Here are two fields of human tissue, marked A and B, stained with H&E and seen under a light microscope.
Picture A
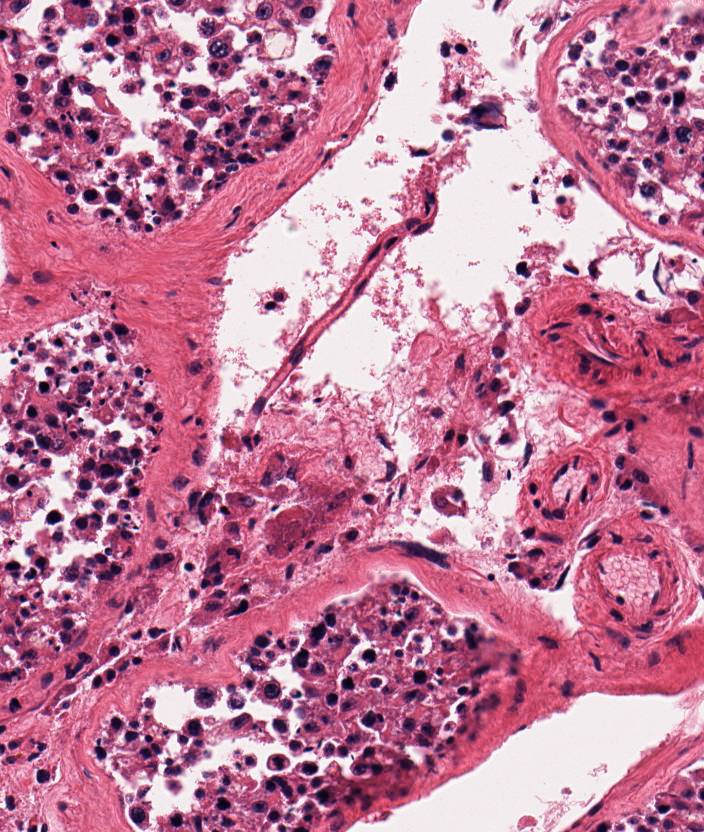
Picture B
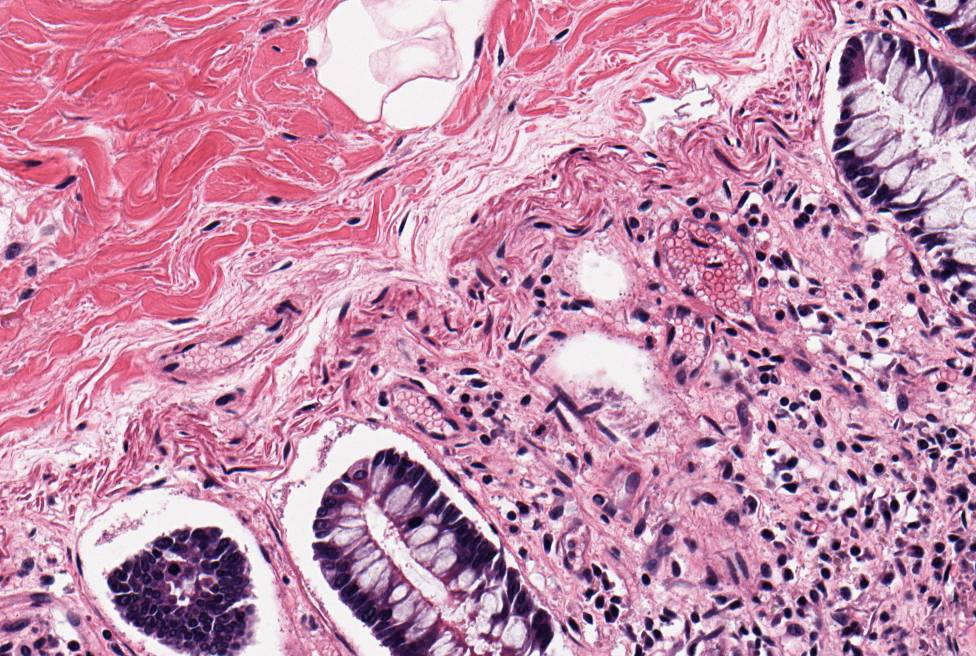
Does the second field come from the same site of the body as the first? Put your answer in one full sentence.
No, they differ: picture A comes from the testis, and picture B comes from the transverse colon.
